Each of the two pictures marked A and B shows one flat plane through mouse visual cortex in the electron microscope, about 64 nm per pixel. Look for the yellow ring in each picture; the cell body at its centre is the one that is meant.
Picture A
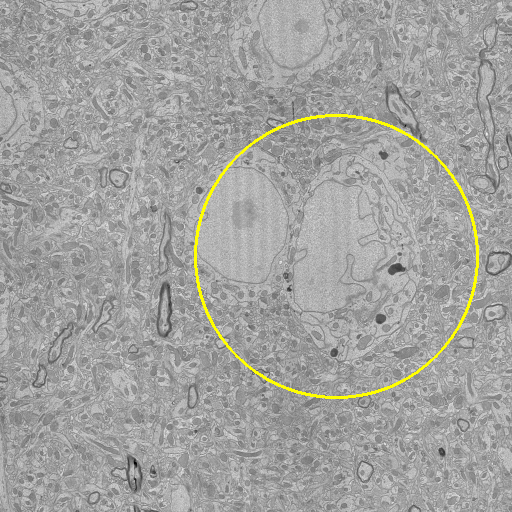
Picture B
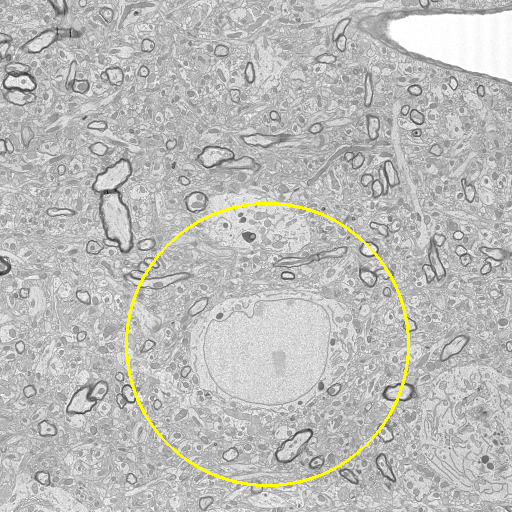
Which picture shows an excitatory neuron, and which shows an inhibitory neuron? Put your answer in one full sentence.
Picture A is of an inhibitory neuron, and picture B is of an excitatory neuron.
